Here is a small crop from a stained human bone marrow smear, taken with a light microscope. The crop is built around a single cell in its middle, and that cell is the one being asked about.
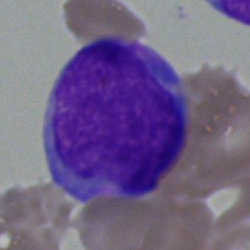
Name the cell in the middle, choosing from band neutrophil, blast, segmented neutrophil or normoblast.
blast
